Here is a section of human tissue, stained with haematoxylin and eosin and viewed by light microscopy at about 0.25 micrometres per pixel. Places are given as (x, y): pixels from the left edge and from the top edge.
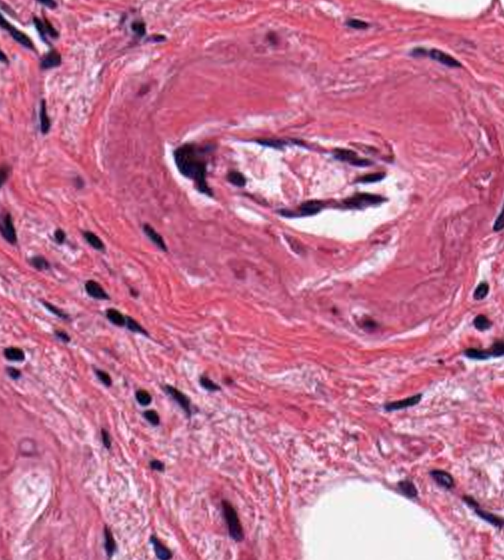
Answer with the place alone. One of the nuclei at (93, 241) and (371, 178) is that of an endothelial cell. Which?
(371, 178)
